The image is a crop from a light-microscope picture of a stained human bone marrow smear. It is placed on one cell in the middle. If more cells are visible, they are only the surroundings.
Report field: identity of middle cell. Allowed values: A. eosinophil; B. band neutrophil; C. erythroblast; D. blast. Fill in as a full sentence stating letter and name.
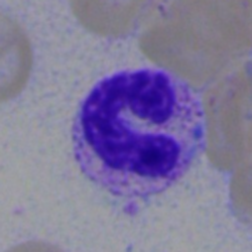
Answer key: option B, the middle cell being a band neutrophil.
